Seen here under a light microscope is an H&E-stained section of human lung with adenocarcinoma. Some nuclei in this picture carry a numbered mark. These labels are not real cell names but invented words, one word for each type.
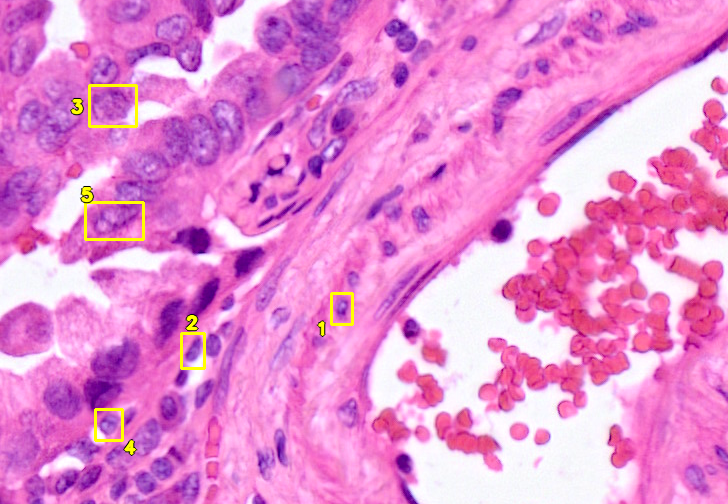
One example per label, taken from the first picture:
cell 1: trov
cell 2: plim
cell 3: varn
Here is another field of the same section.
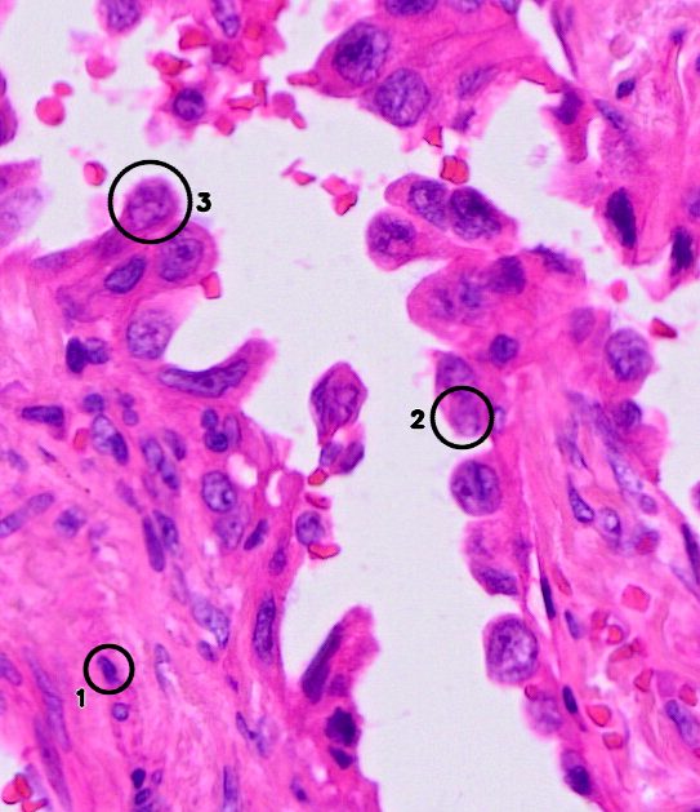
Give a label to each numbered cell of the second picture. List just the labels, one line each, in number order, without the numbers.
trov
varn
varn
